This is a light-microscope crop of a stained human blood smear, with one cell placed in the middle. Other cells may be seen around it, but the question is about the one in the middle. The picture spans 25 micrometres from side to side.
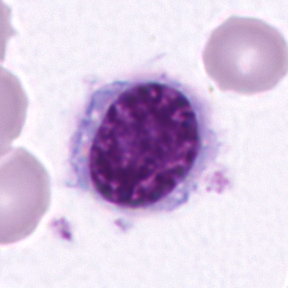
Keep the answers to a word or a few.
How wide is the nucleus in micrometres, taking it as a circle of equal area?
10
